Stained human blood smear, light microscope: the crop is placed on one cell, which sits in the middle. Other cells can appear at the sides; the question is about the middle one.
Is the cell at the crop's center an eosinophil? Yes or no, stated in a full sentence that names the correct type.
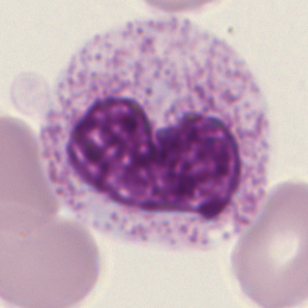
No, the central cell here is a band neutrophil; calling it an eosinophil is not right.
